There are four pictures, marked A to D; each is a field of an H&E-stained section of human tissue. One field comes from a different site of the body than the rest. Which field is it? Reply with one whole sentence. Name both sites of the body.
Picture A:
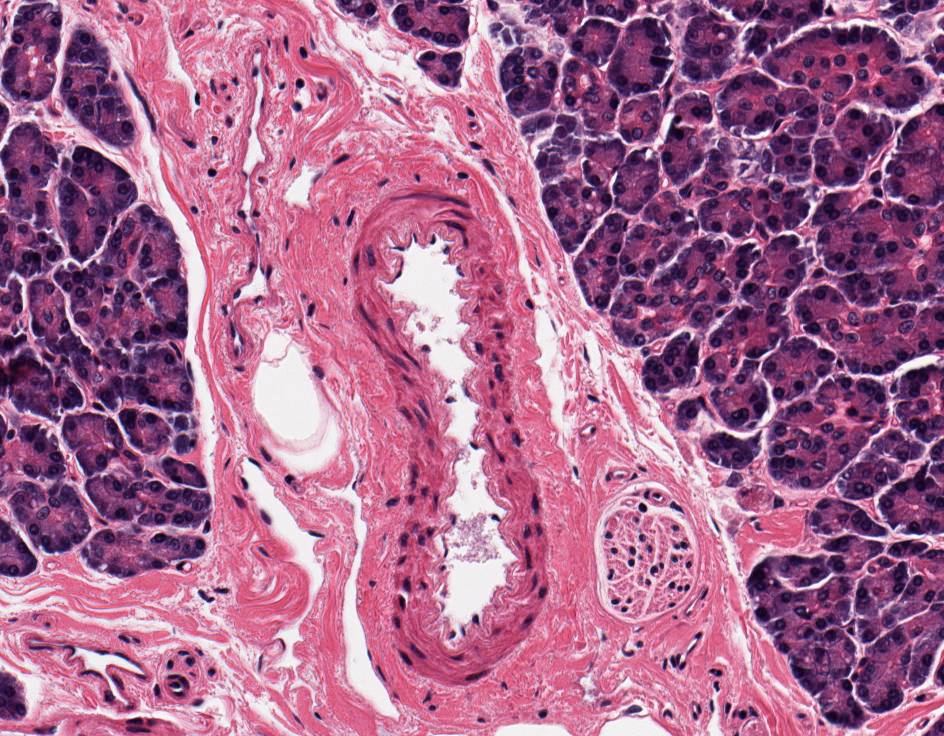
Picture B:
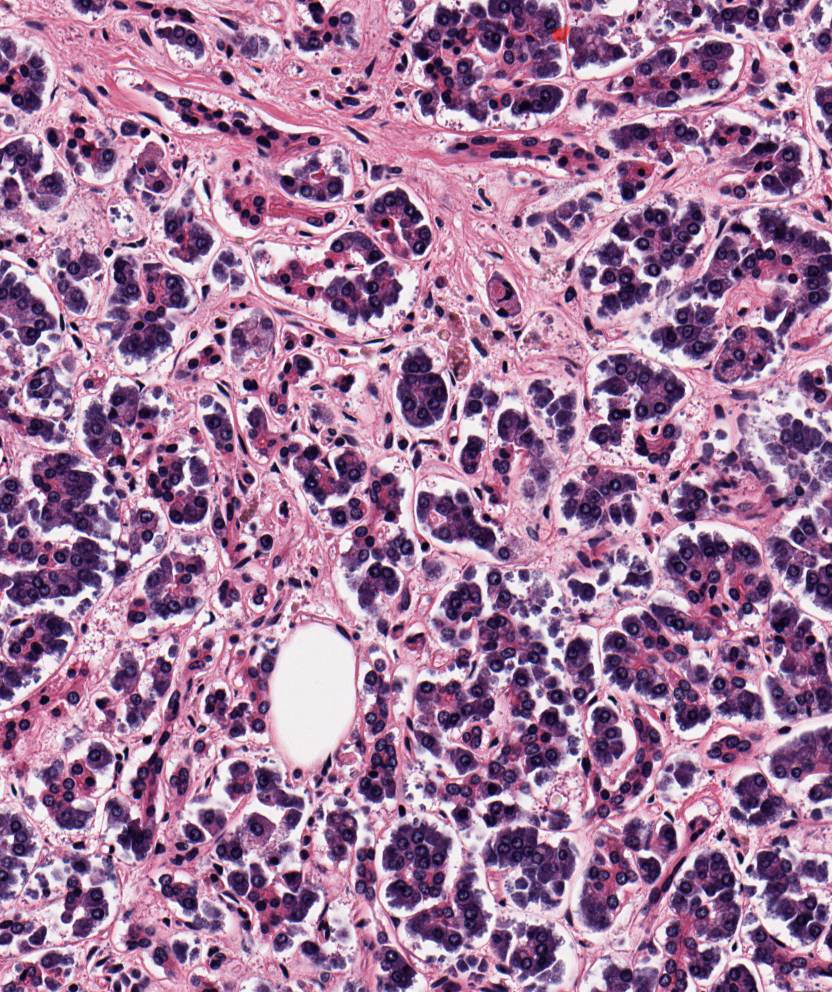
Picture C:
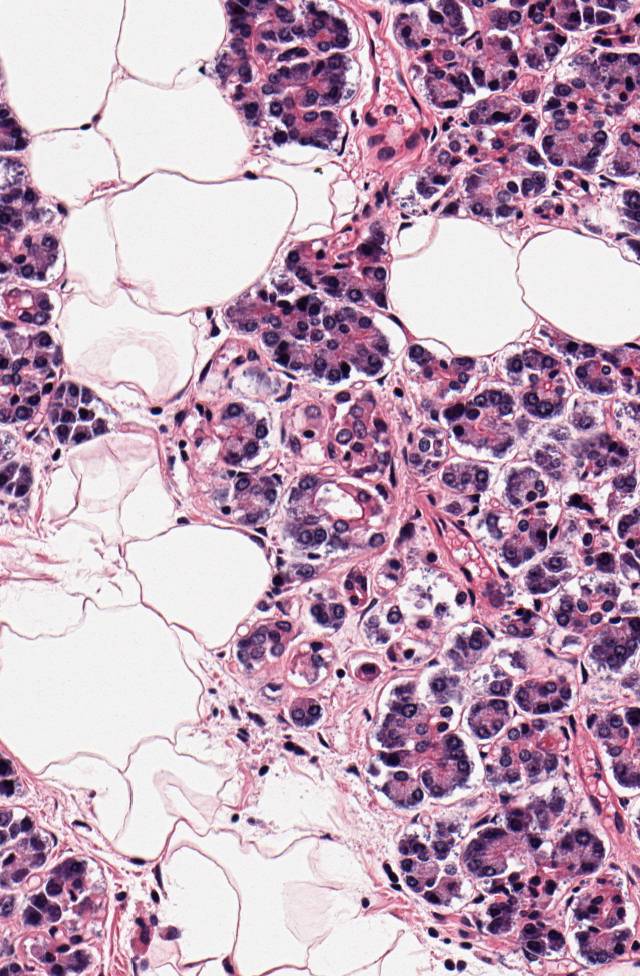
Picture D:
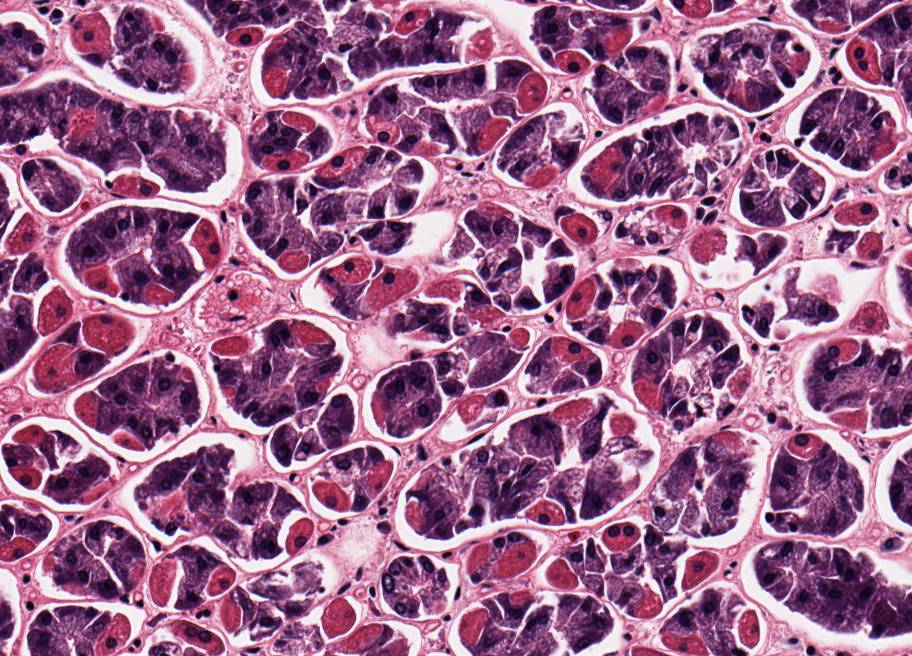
Picture D is the odd one out: it comes from the stomach, while the others come from the pancreas.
